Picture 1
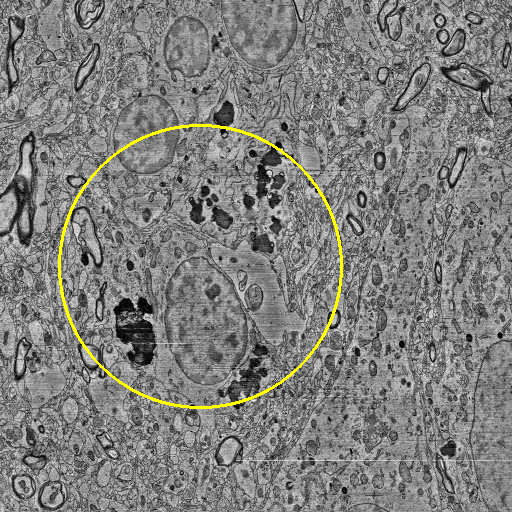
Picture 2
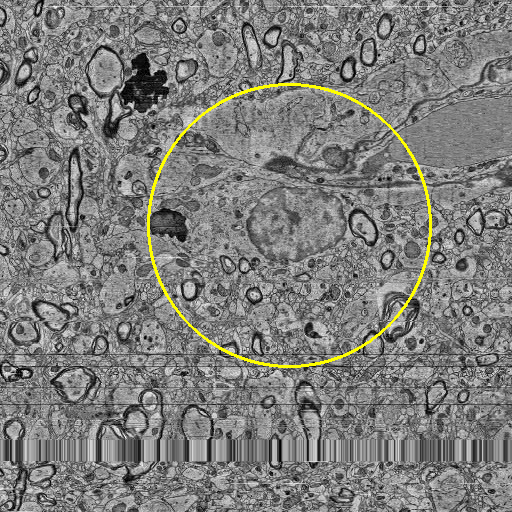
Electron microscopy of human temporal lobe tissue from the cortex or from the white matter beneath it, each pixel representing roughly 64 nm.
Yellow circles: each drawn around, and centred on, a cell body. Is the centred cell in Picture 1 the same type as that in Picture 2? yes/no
yes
